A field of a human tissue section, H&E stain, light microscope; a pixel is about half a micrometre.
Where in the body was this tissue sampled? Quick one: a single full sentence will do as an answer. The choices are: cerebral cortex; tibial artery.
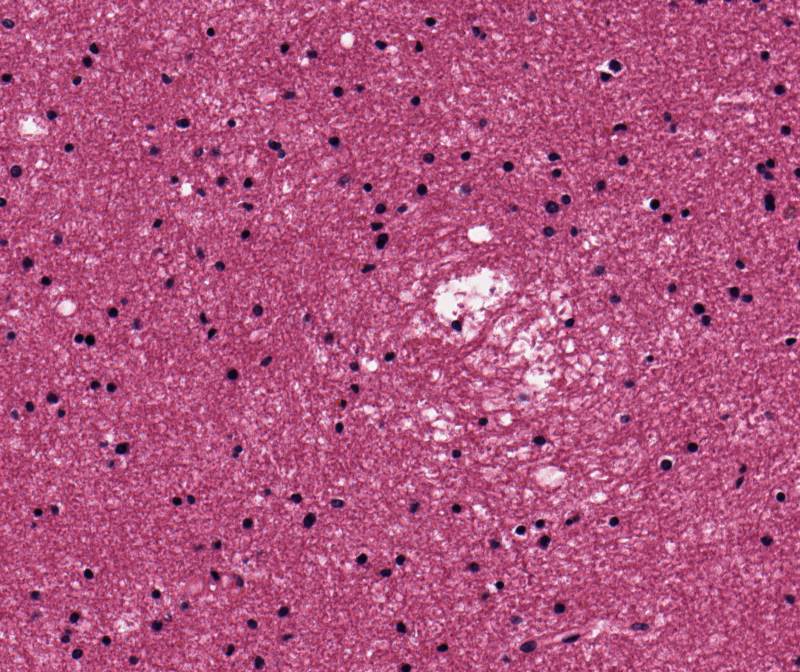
Sampled from the cerebral cortex is the tissue in this section.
